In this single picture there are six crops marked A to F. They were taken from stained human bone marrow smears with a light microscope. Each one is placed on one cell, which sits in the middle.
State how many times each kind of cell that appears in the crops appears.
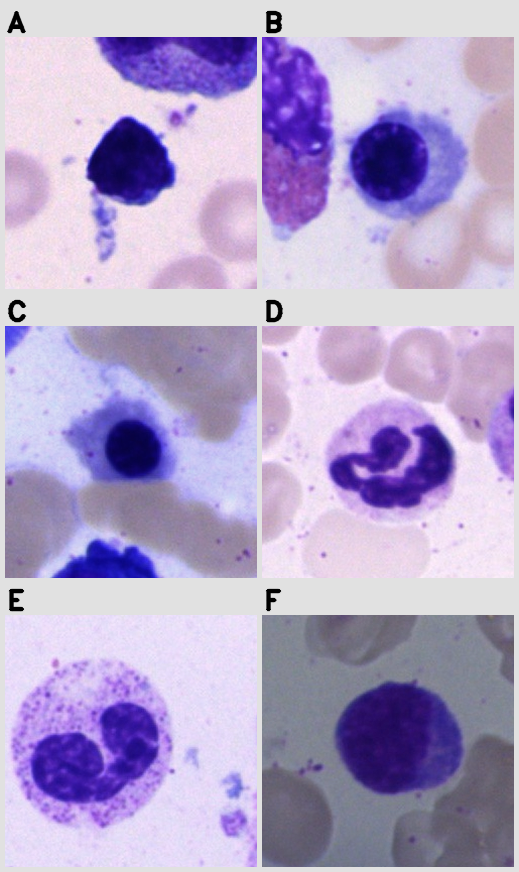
lymphocyte: 2
normoblast: 2
neutrophil: 2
